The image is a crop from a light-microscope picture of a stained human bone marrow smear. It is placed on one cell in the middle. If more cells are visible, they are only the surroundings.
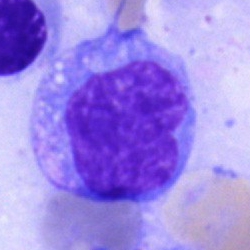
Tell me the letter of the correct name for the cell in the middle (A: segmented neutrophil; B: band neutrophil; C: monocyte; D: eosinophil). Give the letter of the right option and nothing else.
C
